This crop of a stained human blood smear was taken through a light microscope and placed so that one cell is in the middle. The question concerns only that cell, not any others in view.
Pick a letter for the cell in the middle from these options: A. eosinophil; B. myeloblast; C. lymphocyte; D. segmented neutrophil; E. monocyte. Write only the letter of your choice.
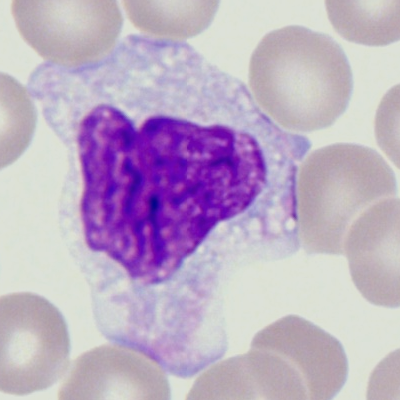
E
